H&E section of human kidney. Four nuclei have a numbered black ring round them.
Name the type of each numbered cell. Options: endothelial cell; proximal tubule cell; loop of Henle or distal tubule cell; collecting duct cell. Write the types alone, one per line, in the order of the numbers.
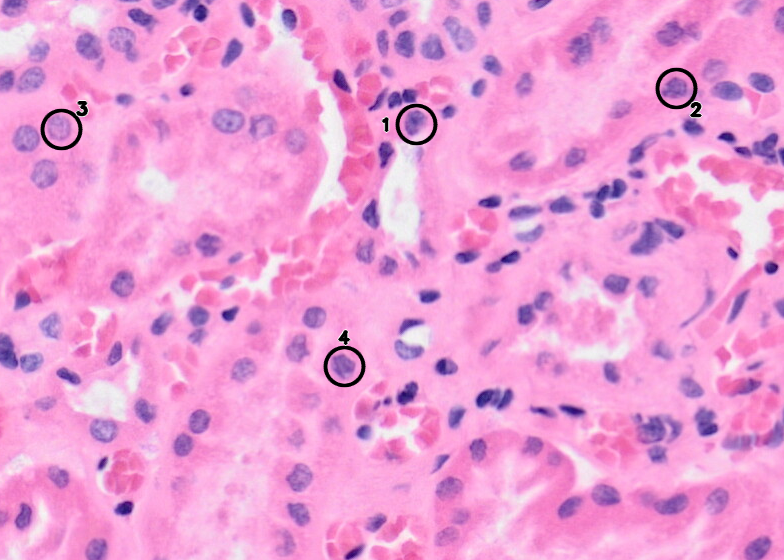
loop of Henle or distal tubule cell
proximal tubule cell
proximal tubule cell
proximal tubule cell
